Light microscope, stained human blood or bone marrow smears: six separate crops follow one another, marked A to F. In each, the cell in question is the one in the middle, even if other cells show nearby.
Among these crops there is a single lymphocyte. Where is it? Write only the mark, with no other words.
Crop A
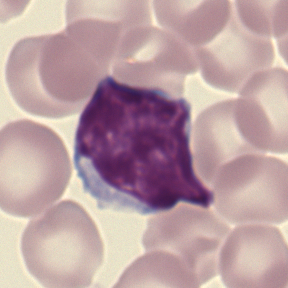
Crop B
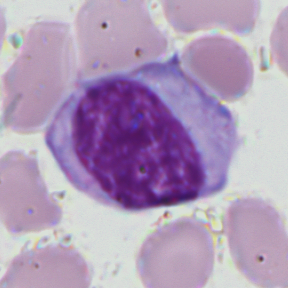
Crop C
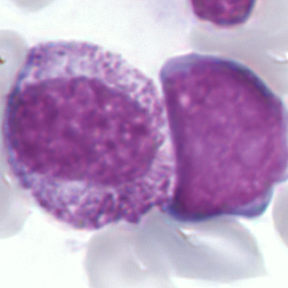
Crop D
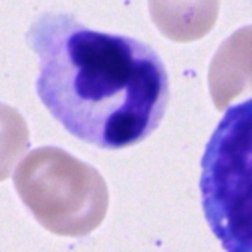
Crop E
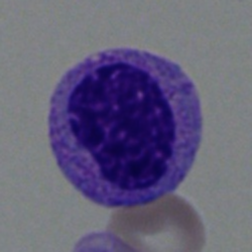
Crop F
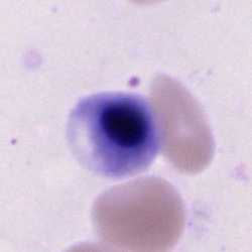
A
